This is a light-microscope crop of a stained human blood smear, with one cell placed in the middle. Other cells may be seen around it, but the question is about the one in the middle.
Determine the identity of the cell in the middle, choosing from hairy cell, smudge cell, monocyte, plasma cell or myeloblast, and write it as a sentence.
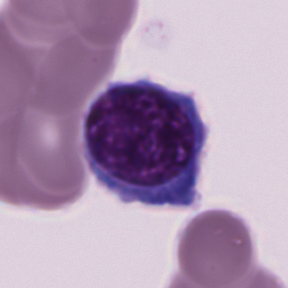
At the center of the crop sits a plasma cell.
